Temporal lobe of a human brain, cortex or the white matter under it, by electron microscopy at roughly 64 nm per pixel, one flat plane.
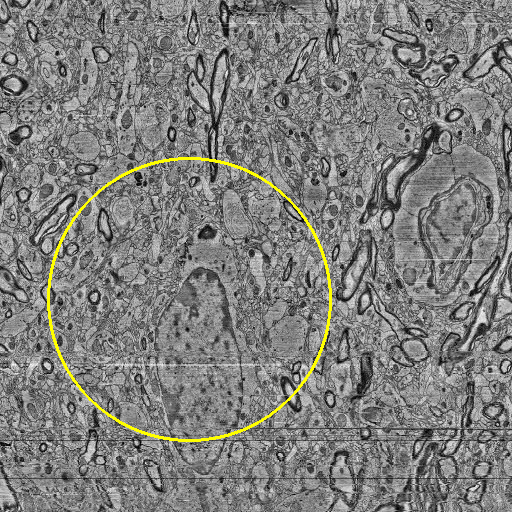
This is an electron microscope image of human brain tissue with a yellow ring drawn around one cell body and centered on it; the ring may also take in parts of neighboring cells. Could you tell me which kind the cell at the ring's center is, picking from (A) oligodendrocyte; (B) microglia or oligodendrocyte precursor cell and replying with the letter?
B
